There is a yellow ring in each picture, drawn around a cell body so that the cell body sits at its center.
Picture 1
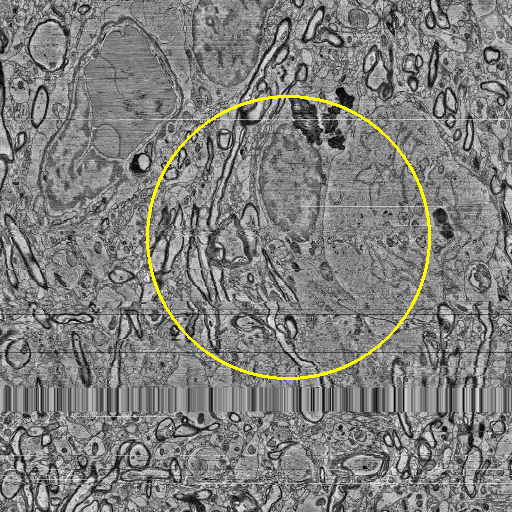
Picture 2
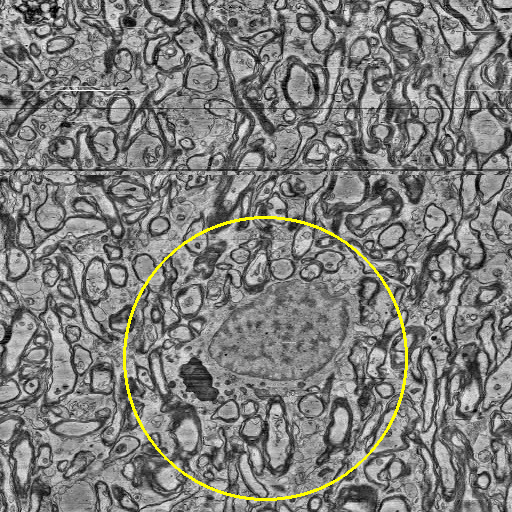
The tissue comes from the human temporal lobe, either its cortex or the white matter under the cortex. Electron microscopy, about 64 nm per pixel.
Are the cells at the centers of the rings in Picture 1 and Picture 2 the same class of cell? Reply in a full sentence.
Yes, the two cells are the same class of cell.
